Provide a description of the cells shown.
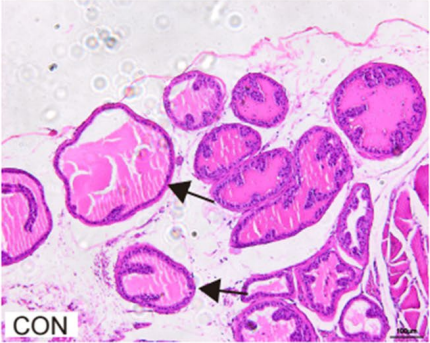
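This is prostate tissue with many rounded glands cut in cross section, each lined by epithelial cells. The epithelium forms a thin, mostly single layer of cells with dark purple nuclei around the edge of each gland. The lumens are wide and filled with homogeneous pink secretion, some of it cracked in sectioning. Little pink stroma lies between the glands.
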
